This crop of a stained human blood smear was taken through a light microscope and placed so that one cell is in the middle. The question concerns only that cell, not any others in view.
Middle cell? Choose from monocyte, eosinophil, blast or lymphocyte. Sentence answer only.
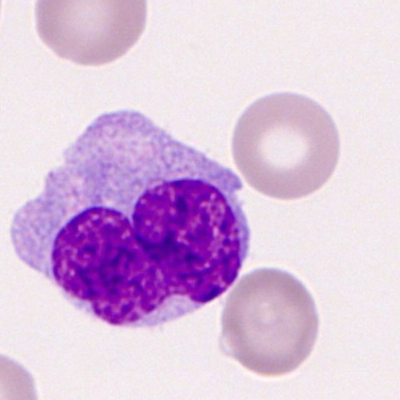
On this slide crop, the central cell is a monocyte.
